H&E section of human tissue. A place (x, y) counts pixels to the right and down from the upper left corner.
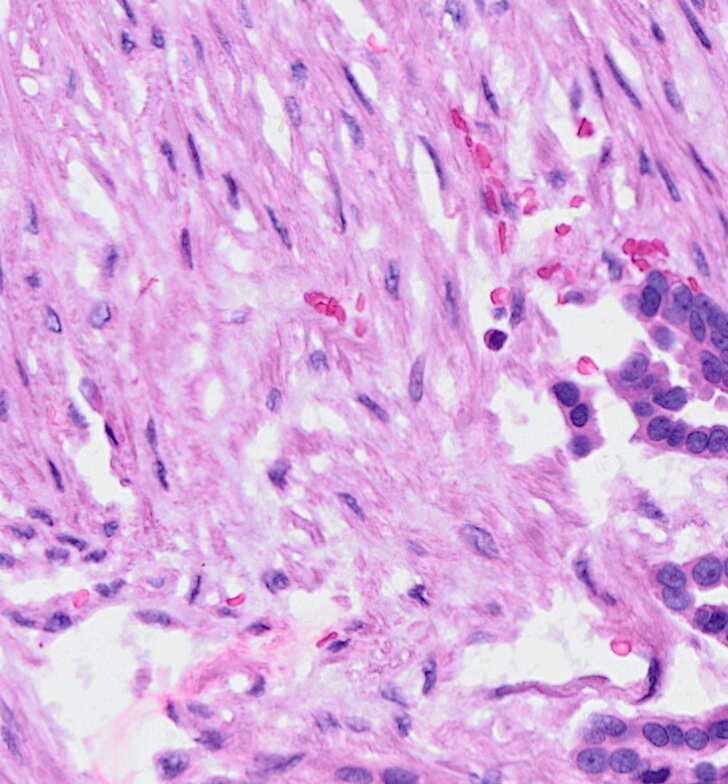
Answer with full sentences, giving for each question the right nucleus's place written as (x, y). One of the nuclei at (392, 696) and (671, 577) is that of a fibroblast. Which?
Of the pair, the nucleus located at (392, 696) belongs to a fibroblast.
